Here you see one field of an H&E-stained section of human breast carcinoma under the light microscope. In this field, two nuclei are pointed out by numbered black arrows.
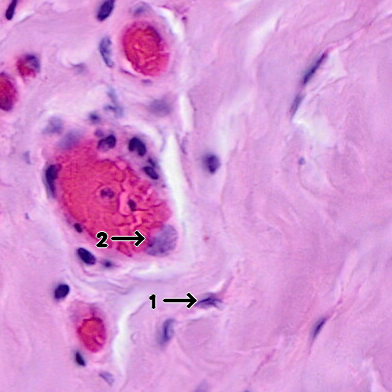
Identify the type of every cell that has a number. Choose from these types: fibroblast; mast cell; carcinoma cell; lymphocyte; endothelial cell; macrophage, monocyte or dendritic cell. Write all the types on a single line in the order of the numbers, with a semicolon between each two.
fibroblast; endothelial cell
